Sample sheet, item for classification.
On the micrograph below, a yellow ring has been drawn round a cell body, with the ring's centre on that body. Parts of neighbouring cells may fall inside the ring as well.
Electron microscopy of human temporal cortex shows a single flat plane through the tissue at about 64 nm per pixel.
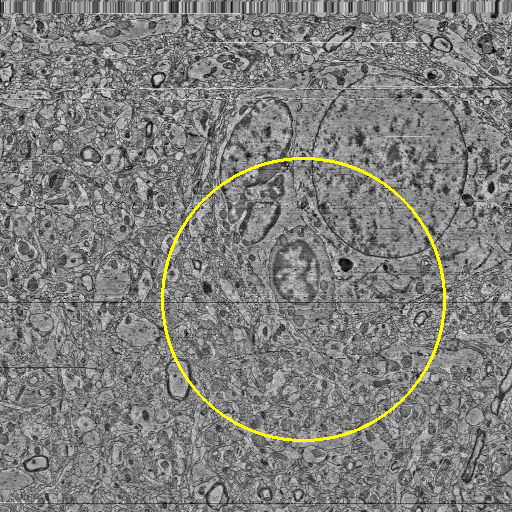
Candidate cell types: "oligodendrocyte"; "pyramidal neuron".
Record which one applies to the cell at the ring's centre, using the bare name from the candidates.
oligodendrocyte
